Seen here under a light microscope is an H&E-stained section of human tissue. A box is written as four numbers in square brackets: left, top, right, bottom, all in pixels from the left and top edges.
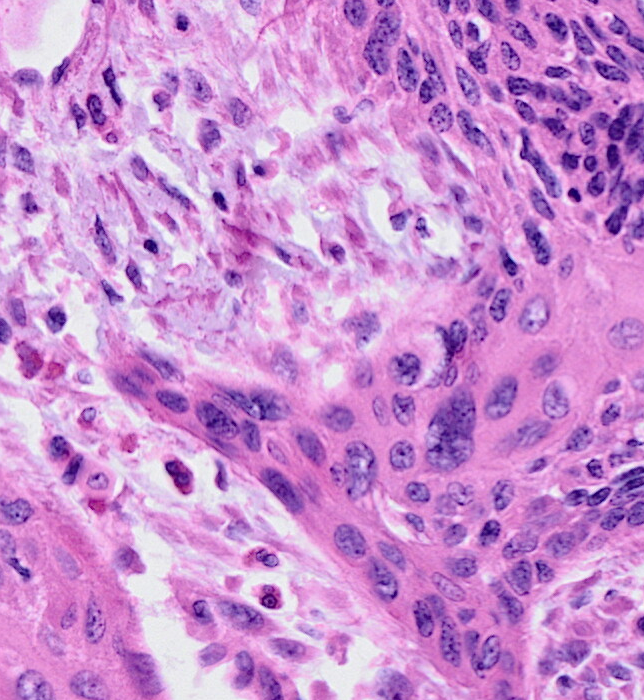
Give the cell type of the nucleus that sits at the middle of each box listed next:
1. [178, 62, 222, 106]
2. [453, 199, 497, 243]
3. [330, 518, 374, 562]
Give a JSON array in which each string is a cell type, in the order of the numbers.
["fibroblast", "fibroblast", "squamous carcinoma cell"]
